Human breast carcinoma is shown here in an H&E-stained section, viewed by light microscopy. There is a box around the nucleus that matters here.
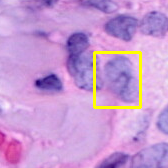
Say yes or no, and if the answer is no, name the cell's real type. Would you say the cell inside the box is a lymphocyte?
No, it is a carcinoma cell.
